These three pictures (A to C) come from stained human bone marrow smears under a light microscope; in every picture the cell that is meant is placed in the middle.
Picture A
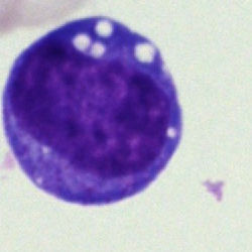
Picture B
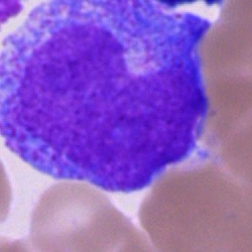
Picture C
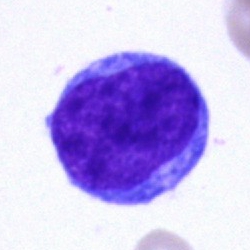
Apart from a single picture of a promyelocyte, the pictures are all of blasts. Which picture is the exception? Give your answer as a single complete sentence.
It is picture B that shows the promyelocyte.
